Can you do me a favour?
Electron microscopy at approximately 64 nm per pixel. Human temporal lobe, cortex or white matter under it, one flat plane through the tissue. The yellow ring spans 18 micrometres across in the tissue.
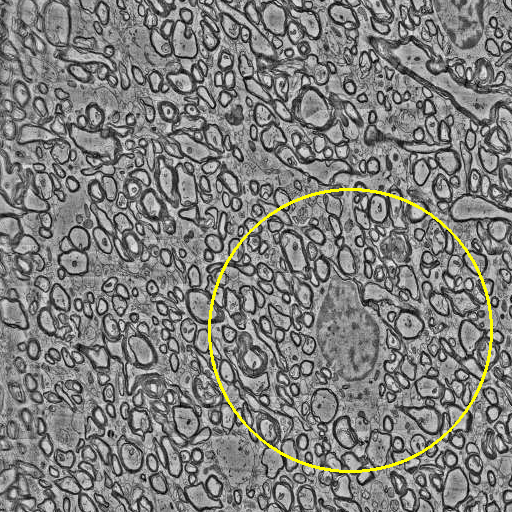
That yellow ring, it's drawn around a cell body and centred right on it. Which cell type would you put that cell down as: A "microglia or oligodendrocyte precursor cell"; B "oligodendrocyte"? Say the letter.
B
